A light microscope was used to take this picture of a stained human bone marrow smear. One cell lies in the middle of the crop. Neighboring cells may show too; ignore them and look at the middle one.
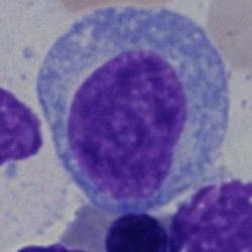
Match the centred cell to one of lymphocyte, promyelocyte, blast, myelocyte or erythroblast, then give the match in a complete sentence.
Classification of the middle cell gives a blast.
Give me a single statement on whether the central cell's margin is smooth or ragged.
No projections interrupt the outline; it is smooth all the way round.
